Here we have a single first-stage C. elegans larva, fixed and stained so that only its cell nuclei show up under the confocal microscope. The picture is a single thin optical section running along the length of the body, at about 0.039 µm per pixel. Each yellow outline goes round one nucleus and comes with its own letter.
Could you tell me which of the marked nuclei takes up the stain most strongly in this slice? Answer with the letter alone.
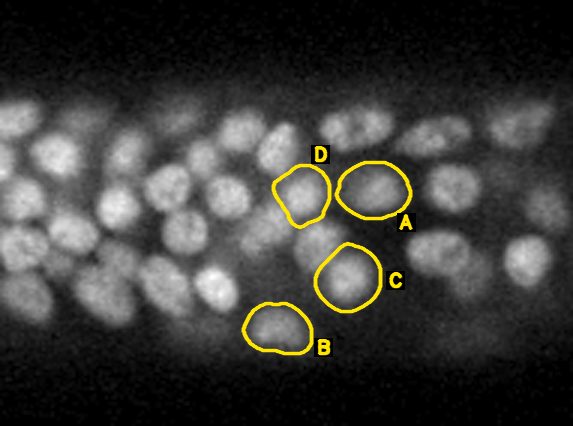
D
